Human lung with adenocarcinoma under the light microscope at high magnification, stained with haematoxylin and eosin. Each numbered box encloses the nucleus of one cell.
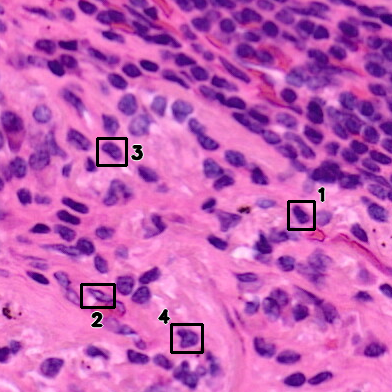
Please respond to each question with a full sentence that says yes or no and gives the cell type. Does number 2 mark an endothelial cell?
Yes, the cell indicated by number 2 is an endothelial cell.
